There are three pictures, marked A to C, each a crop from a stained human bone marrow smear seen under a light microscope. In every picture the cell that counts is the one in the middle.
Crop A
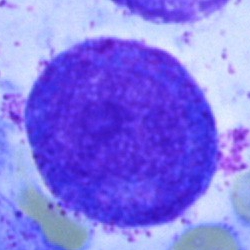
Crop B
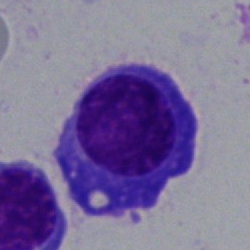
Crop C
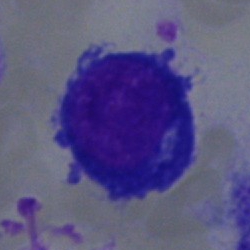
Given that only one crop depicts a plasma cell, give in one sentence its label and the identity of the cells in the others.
The cell centred in crop B is a plasma cell; by contrast, crop A is a promyelocyte and crop C is a proerythroblast.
